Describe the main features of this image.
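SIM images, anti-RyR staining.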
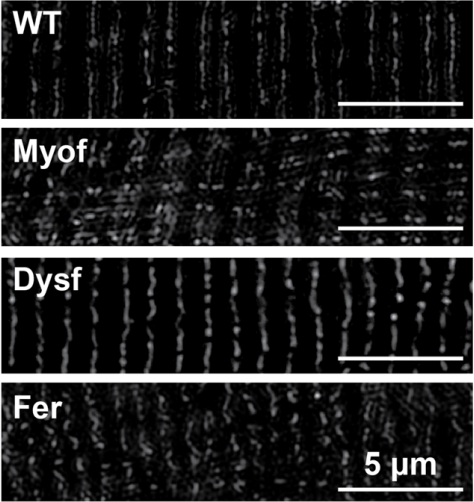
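In the best-ordered strips the puncta line up in narrow transverse rows that cross the fiber at regular intervals, giving a striated, ladder-like pattern. Between these rows the background is largely dark. In other strips the rows are less straight and less evenly spaced. There, short segments also run obliquely or along the length of the fiber between the rows, so the pattern looks more patchy and disordered.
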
